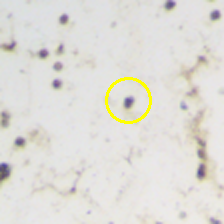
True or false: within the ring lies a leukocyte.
True: a leukocyte lies within the ring.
